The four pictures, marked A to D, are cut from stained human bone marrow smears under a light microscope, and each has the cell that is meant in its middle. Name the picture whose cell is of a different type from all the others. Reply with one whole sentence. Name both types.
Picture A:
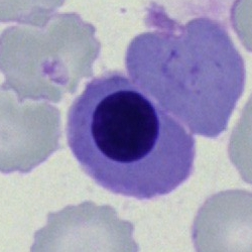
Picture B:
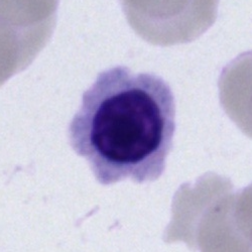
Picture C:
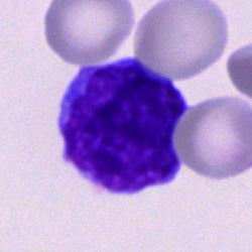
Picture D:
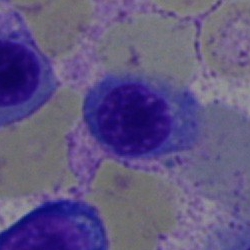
All pictures except C show erythroblasts; picture C shows a blast.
